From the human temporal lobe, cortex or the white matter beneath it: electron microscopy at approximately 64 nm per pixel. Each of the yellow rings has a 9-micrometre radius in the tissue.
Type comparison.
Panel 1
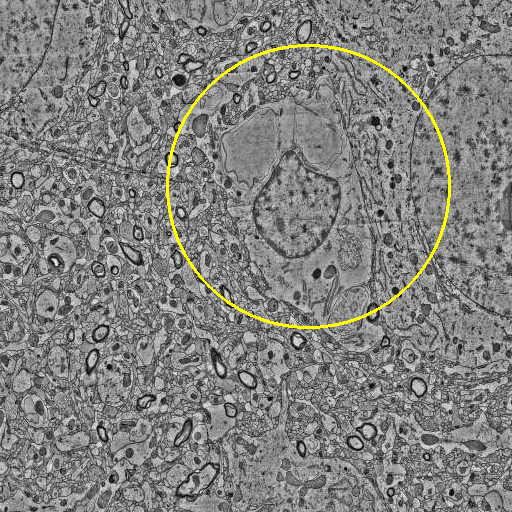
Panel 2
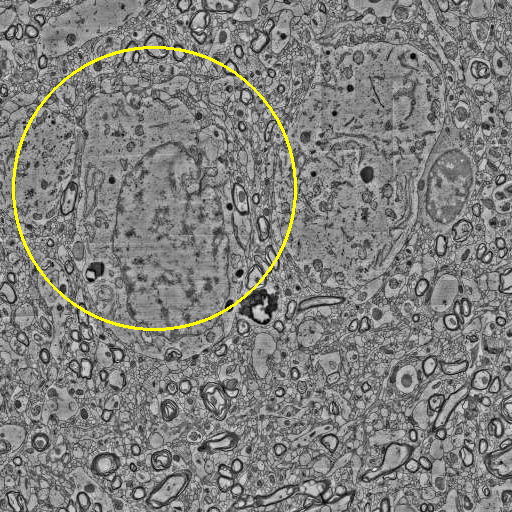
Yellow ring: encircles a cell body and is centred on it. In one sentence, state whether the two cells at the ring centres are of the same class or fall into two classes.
In these panels, the two cells at the ring centres fall into two classes.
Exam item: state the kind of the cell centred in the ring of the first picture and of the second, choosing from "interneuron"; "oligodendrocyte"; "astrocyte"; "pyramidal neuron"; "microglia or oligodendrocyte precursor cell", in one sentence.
The first picture shows an astrocyte at the ring centre and the second shows an interneuron.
